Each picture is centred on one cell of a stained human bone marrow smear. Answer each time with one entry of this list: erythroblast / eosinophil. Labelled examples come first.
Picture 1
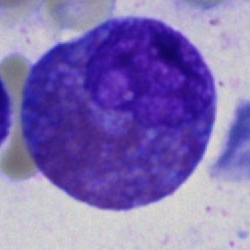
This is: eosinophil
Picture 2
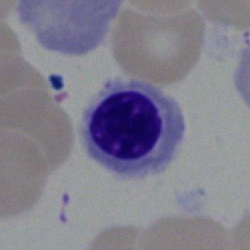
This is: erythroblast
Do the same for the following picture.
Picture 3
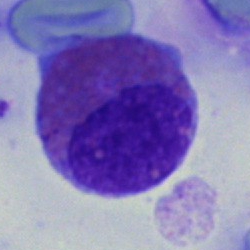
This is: eosinophil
